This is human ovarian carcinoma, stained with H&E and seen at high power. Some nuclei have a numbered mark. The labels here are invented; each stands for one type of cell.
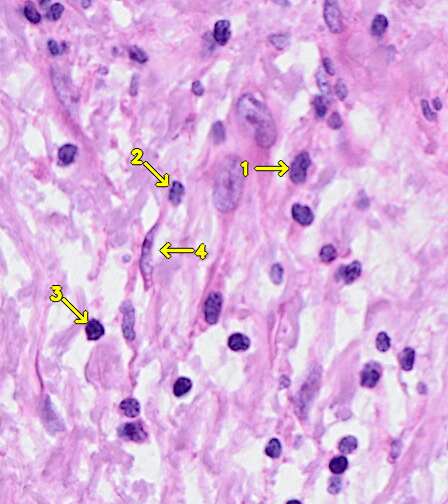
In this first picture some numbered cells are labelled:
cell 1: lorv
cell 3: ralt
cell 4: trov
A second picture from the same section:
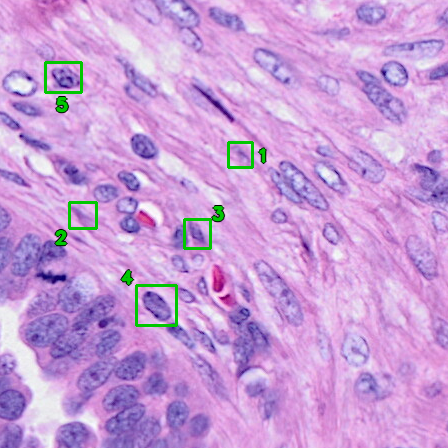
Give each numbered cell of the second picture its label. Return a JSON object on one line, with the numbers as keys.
{"1": "trov", "2": "trov", "3": "trov", "4": "lorv", "5": "ralt"}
